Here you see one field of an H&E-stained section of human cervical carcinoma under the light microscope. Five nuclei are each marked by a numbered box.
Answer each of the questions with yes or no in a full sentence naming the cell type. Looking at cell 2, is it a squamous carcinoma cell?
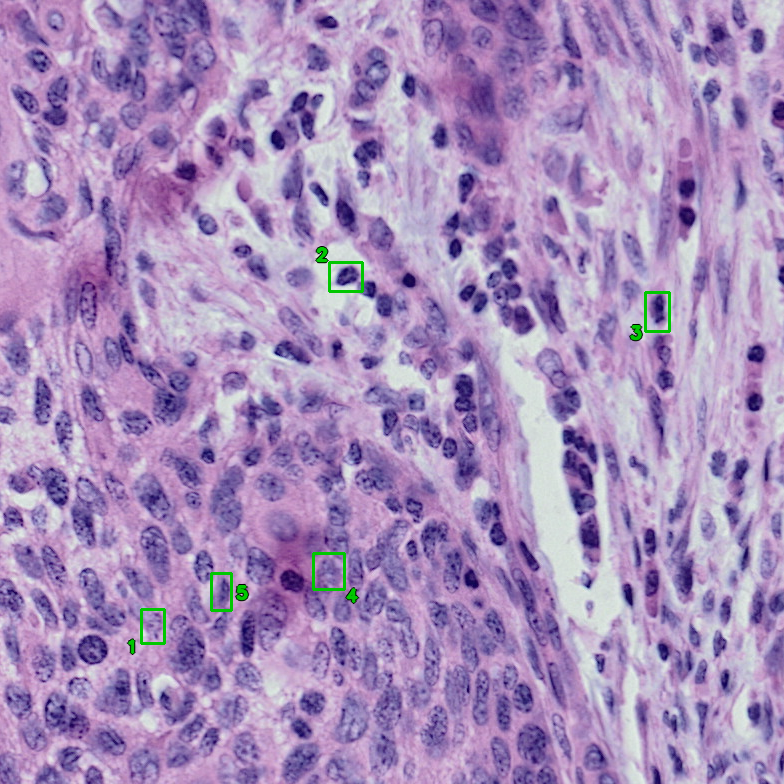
No, the cell denoted 2 is a lymphocyte rather than a squamous carcinoma cell.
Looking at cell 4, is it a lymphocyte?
No, cell number 4 is identified as a squamous carcinoma cell, not as a lymphocyte.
